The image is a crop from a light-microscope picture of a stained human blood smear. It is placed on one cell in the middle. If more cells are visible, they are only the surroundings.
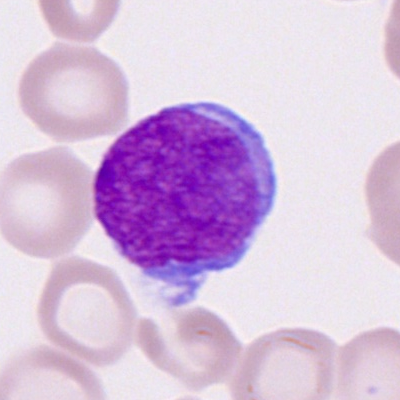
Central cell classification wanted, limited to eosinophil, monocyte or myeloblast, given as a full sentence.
At the middle of the frame sits a myeloblast.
